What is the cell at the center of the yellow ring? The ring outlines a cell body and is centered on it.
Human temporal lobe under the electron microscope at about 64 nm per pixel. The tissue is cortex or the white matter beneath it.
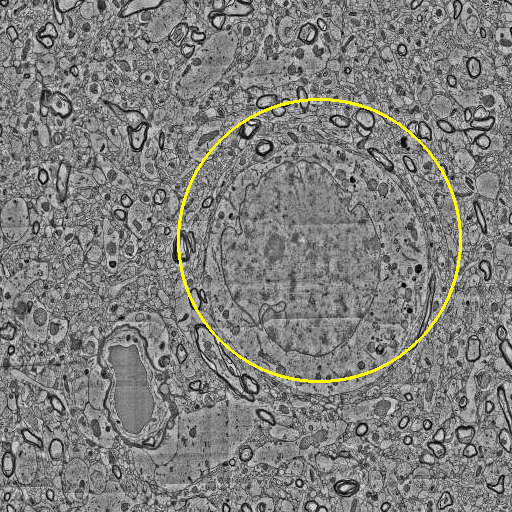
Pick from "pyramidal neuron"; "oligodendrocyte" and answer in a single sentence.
The yellow ring is centered on a pyramidal neuron.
